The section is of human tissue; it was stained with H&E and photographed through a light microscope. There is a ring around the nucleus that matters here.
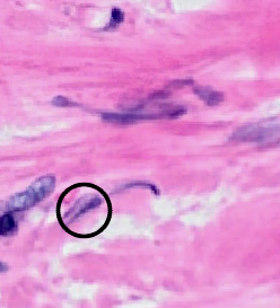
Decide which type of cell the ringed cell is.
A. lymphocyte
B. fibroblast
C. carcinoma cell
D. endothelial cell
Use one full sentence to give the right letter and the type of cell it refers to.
Option D is the right one; the ringed cell is an endothelial cell.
